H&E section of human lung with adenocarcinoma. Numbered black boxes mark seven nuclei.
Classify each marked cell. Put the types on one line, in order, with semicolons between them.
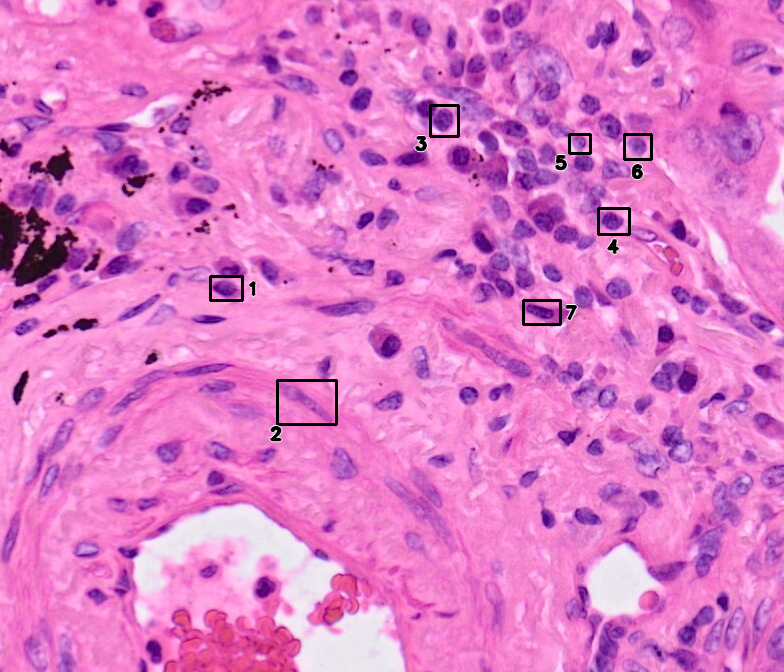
plasma cell; smooth muscle cell or pericyte; lymphocyte; lymphocyte; lymphocyte; lymphocyte; plasma cell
